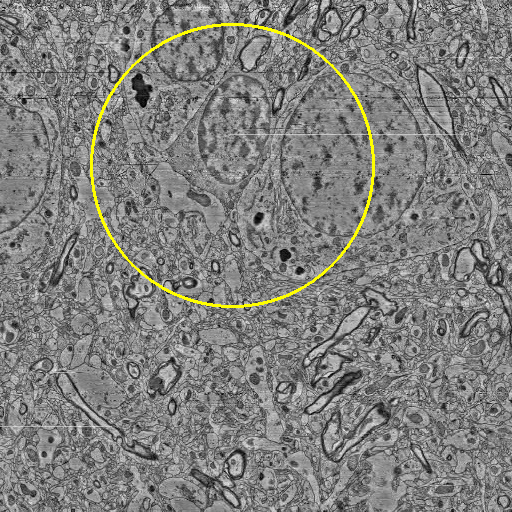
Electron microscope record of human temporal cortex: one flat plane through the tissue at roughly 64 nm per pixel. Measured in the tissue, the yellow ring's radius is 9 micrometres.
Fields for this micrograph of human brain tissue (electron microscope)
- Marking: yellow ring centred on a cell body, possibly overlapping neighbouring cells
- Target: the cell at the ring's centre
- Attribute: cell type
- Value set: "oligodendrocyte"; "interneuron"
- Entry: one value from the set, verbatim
oligodendrocyte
